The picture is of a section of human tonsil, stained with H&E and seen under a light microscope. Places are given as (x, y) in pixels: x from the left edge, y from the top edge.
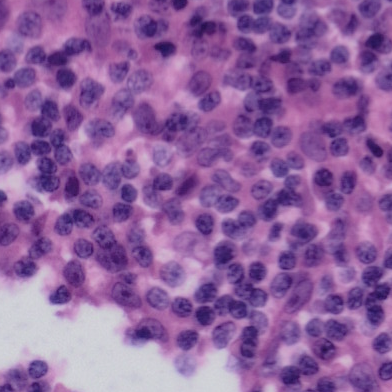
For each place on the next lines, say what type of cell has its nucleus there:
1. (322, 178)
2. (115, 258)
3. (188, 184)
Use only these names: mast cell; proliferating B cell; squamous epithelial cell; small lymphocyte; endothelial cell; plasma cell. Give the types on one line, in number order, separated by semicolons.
plasma cell; squamous epithelial cell; squamous epithelial cell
